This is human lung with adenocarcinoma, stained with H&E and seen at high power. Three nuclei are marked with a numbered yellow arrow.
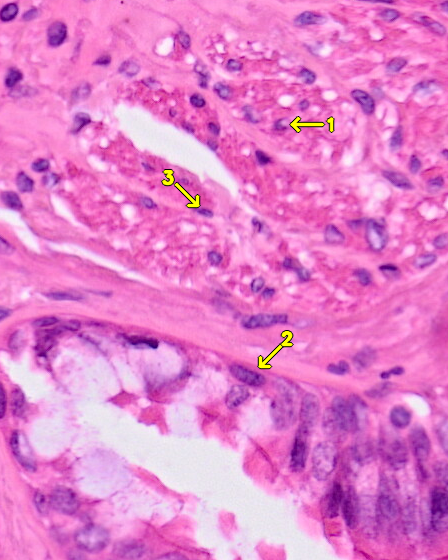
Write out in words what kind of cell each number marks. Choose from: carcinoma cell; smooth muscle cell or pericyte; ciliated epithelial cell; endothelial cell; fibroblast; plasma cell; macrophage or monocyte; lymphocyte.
Cells 1 and 3 are smooth muscle cells or pericytes. Cell 2 is a ciliated epithelial cell.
